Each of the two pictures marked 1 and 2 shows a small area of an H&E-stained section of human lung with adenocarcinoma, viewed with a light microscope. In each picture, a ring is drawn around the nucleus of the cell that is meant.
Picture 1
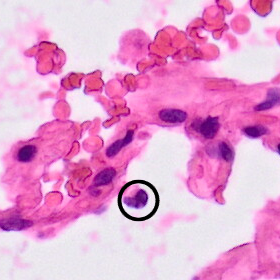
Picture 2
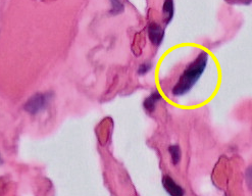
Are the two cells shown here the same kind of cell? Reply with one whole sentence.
Yes, both cells are type I pneumocytes.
